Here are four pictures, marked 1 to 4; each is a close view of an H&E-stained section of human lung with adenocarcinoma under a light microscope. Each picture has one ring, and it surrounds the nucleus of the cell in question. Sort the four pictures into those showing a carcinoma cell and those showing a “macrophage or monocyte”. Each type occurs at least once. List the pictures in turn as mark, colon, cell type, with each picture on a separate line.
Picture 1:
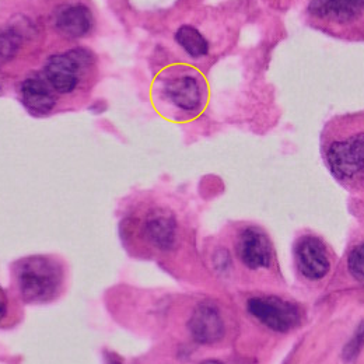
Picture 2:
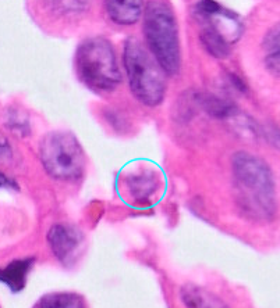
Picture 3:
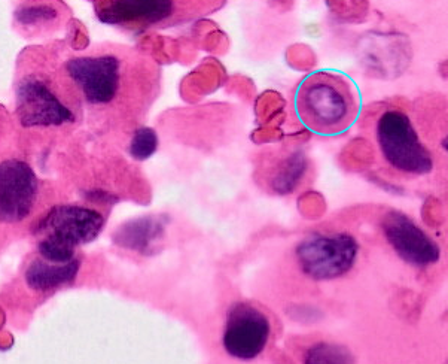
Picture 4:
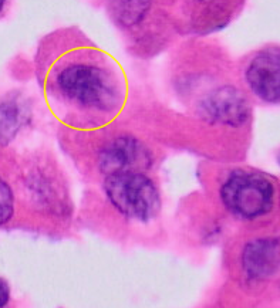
1: macrophage or monocyte
2: macrophage or monocyte
3: macrophage or monocyte
4: carcinoma cell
